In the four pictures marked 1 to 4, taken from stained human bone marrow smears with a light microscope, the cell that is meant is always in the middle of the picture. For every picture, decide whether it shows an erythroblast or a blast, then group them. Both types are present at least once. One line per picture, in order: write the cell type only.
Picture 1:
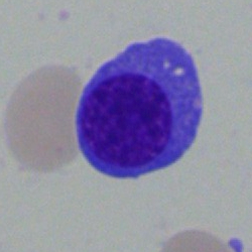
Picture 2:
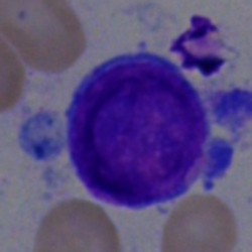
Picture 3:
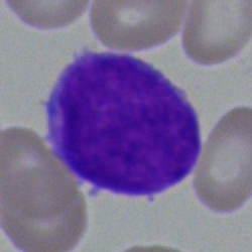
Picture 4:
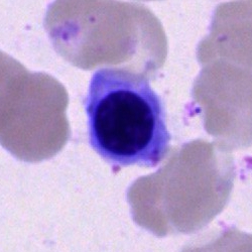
erythroblast
blast
blast
erythroblast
